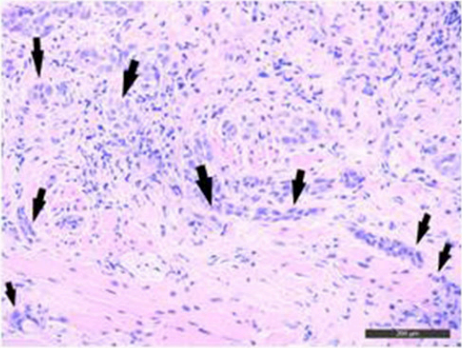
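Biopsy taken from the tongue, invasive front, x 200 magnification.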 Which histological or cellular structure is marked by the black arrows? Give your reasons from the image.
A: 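Non-cohesive cancer foci, tumor cords, and single cells. The arrows point to small clusters, thin strands and isolated cells. These lie scattered in pale fibrous stroma.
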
